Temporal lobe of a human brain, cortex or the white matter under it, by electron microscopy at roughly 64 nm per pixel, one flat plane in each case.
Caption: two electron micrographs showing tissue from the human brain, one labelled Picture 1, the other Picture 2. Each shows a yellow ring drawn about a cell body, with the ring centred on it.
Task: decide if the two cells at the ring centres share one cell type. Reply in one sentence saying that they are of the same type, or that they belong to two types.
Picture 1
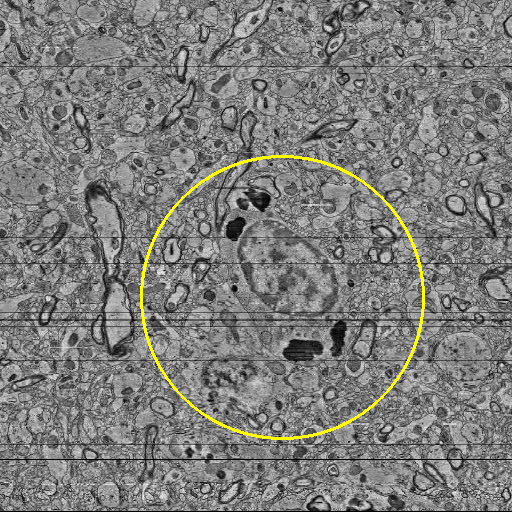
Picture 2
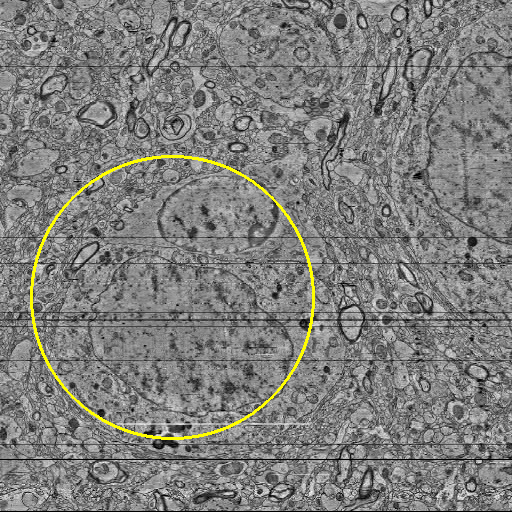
The cells at the ring centres in Picture 1 and Picture 2 belong to two types.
